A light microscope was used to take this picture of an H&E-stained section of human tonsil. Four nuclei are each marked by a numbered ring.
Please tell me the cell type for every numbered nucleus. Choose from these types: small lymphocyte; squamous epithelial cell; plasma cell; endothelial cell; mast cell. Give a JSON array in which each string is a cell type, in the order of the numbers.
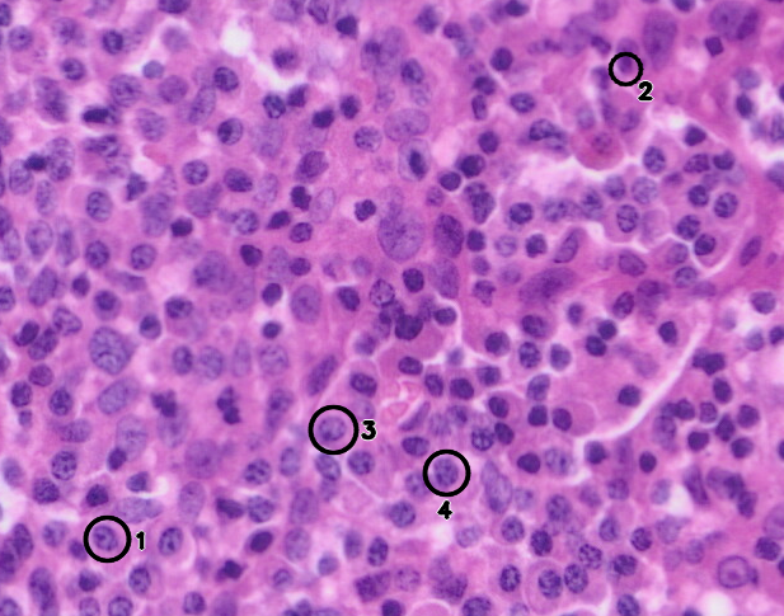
["plasma cell", "squamous epithelial cell", "plasma cell", "plasma cell"]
